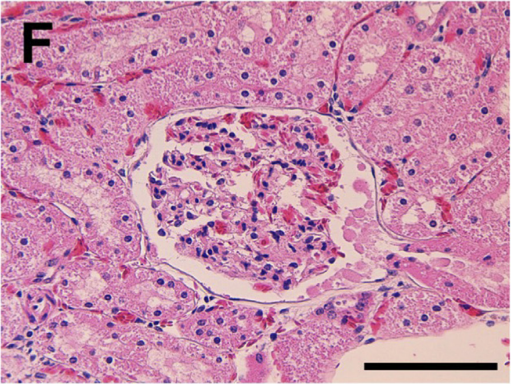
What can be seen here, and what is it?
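A renal corpuscle of the kidney is surrounded by tubules, stained pink and purple. The capillary tuft is lobulated and crowded with dark purple nuclei, with bright red erythrocytes in its loops. A clear space separates the tuft from the thin outer wall of Bowman's capsule, lined by flattened cells. Around it, tubules are lined by cuboidal cells with pink, partly granular or vacuolated cytoplasm and round nuclei; some lumina hold pale pink debris. Red blood cells also fill narrow capillaries between the tubules.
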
